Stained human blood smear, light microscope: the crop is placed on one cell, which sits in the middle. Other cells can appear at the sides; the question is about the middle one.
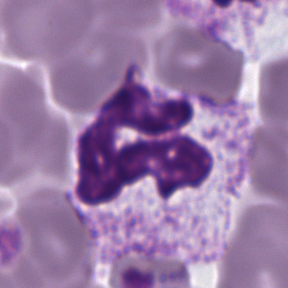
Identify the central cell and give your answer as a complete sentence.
The cell of interest, located centrally, is a segmented neutrophil.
